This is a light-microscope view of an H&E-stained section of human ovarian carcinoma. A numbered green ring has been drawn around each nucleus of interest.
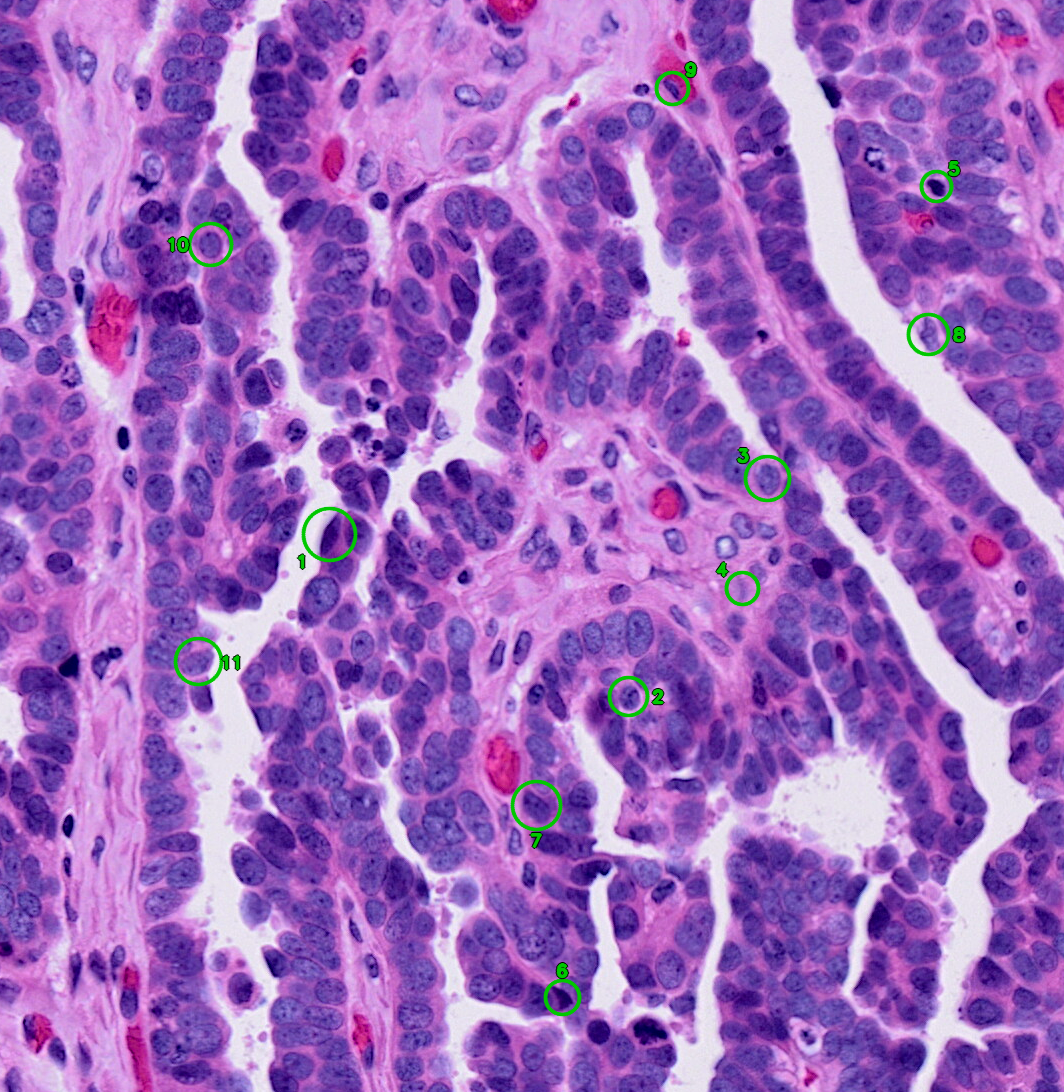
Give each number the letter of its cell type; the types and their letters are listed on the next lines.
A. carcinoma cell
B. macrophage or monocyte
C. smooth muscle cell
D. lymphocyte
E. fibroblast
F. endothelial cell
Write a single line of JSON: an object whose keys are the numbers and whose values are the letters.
{"1": "A", "2": "B", "3": "A", "4": "E", "5": "D", "6": "A", "7": "A", "8": "B", "9": "F", "10": "A", "11": "A"}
